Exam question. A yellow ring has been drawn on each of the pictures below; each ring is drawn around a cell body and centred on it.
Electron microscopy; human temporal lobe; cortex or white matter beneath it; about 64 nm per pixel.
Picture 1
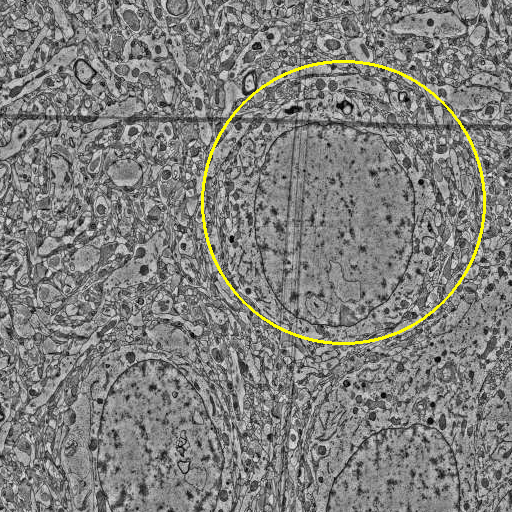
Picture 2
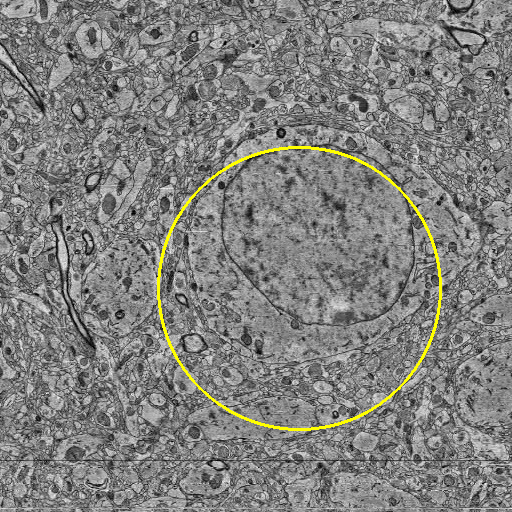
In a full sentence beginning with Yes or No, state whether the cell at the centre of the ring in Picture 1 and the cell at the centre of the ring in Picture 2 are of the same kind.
Yes, the two cells are of the same kind.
